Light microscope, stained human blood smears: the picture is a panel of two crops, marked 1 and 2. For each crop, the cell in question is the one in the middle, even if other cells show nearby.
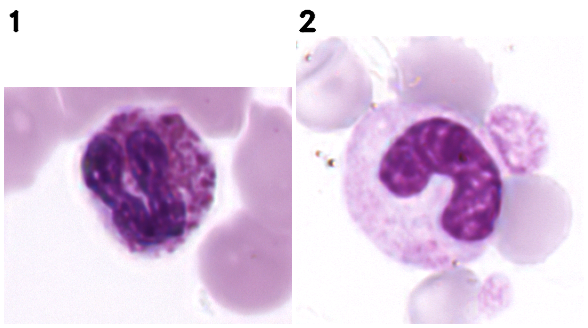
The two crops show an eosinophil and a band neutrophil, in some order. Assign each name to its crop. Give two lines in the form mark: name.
1: eosinophil
2: band neutrophil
